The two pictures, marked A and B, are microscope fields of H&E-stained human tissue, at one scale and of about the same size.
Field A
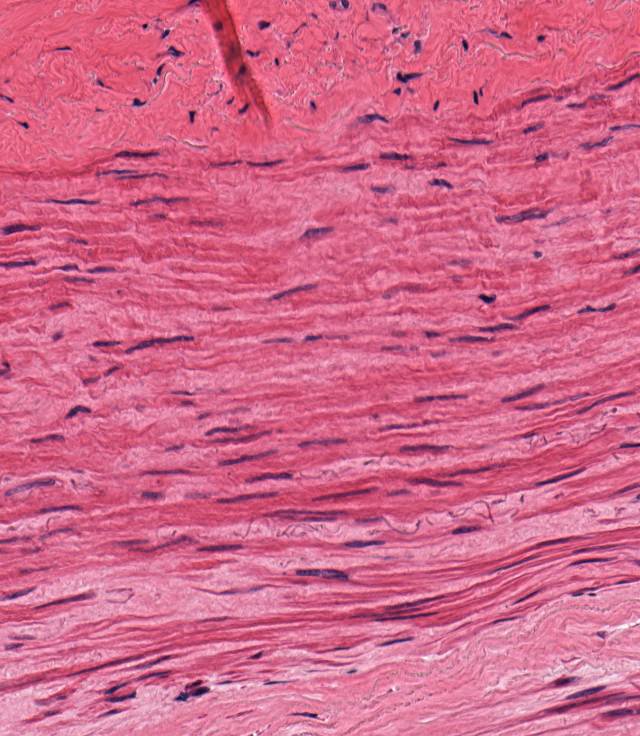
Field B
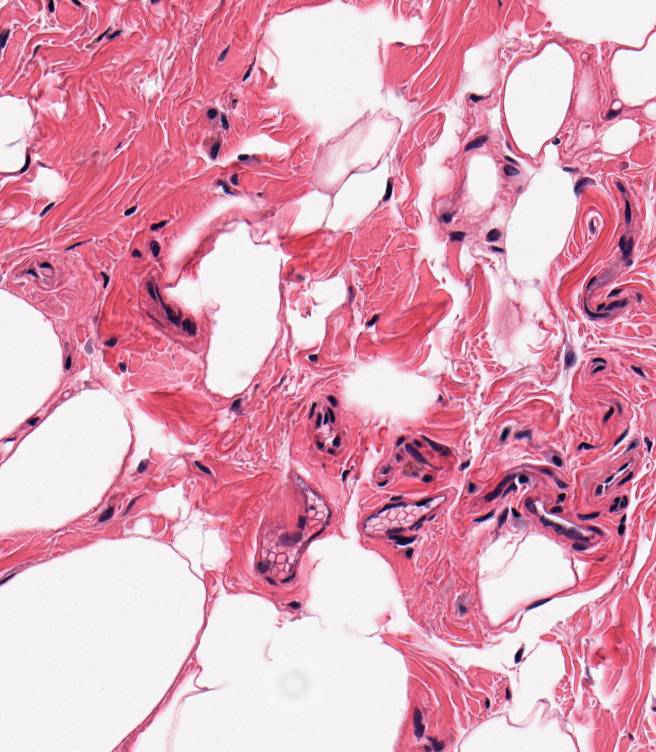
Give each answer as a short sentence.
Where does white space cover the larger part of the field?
Field B has more white space.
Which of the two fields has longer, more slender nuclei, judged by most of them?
It is field A whose nuclei are the more elongated.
